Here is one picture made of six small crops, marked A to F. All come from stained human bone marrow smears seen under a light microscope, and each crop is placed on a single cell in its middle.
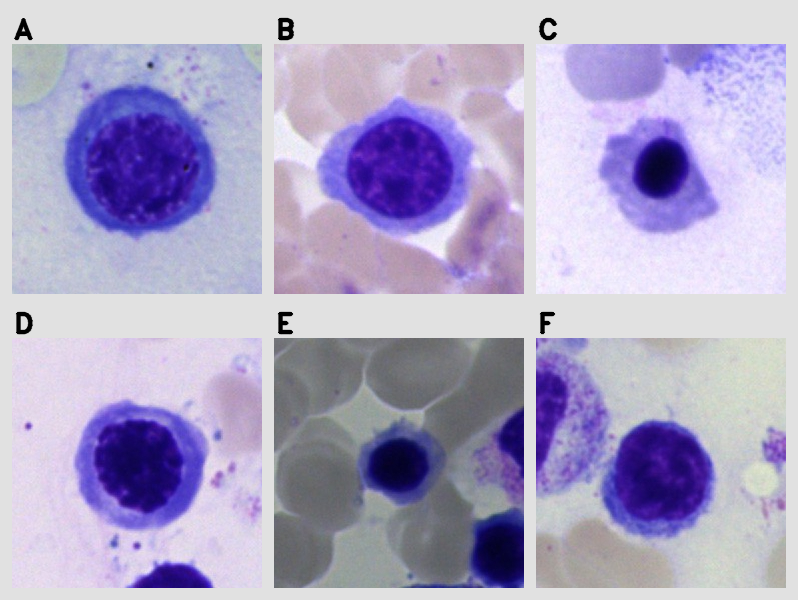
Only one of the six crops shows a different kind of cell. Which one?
F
